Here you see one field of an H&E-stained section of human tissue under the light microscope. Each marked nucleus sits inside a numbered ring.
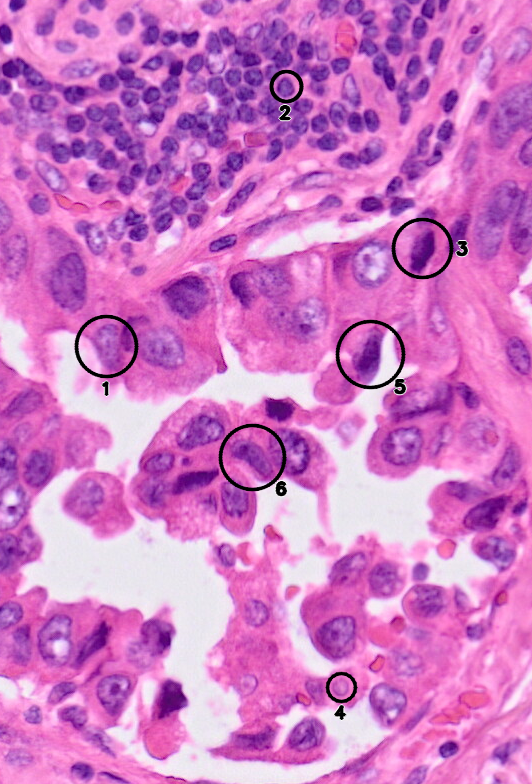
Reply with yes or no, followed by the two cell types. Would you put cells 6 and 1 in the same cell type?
Yes, within the numbered set, cells 6 and 1 are both carcinoma cells.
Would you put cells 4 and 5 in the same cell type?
No; whereas cell 4 is a macrophage or monocyte, cell 5 is a carcinoma cell.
